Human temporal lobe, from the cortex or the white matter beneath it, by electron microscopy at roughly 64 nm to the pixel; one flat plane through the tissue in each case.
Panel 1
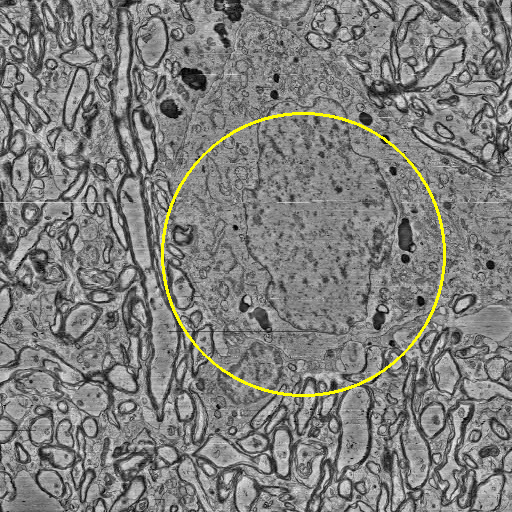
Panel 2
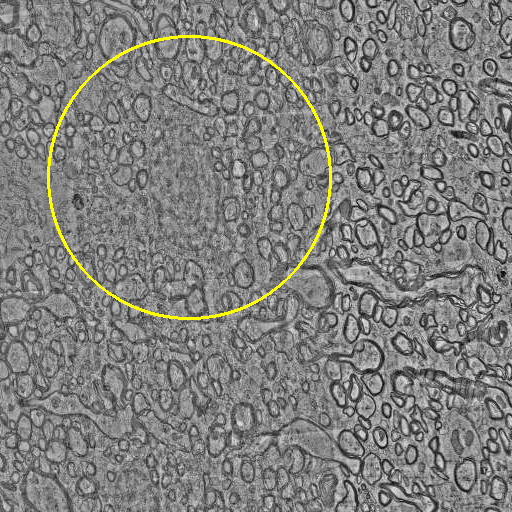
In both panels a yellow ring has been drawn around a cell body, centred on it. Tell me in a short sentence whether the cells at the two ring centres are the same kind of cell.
No, they are two kinds of cell.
